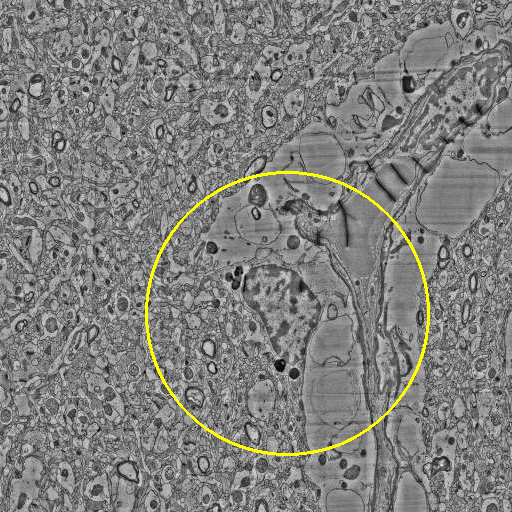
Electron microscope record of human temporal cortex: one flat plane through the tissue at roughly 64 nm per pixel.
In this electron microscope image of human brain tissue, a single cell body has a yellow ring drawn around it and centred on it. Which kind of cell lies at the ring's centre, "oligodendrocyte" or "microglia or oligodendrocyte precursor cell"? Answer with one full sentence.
It is a microglial cell or oligodendrocyte precursor cell whose cell body lies at the centre of the yellow ring here.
